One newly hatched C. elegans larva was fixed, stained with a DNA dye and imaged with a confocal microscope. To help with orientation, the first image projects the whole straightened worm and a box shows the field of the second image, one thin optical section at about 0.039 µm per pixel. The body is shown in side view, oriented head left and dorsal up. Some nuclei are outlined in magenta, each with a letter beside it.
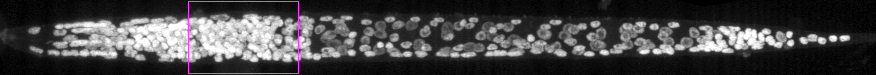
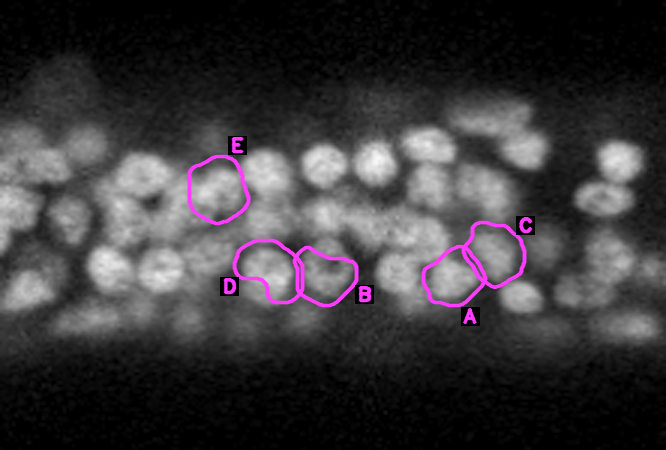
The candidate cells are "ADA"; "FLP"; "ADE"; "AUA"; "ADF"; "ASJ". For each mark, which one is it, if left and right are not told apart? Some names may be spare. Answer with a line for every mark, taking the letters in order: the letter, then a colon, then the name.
A: FLP
B: ASJ
C: ADE
D: AUA
E: ADF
